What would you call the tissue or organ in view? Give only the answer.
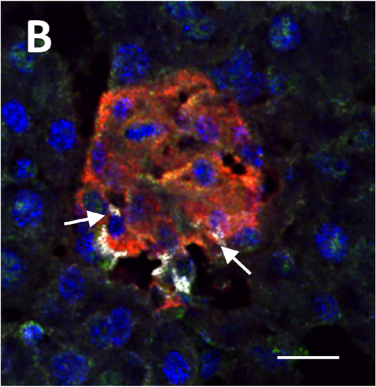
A: islets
